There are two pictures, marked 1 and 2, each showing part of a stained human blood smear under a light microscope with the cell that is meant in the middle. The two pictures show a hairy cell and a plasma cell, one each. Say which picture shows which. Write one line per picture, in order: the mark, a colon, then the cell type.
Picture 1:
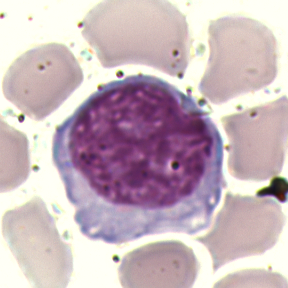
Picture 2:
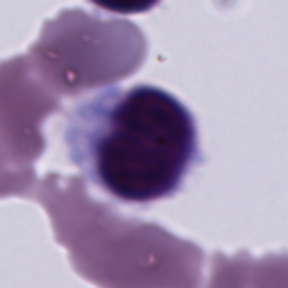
1: plasma cell
2: hairy cell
